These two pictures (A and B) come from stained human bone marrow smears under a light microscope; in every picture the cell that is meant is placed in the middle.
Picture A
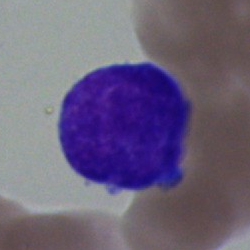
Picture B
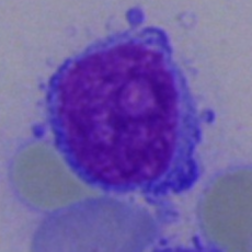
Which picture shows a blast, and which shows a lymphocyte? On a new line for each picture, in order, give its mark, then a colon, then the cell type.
A: blast
B: lymphocyte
